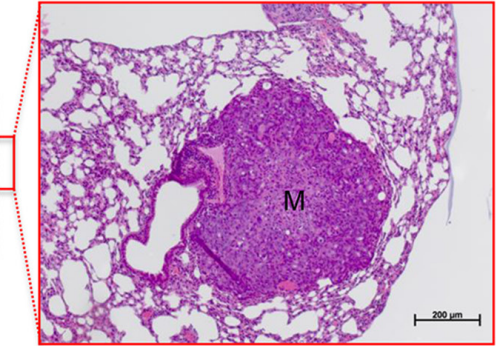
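A dense, roughly round purple nodule of tightly packed cells sits within lung tissue made of thin alveolar walls around empty air spaces. The nodule is far more cellular and darker than the surrounding lacy parenchyma and lies against an open airway-like lumen.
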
